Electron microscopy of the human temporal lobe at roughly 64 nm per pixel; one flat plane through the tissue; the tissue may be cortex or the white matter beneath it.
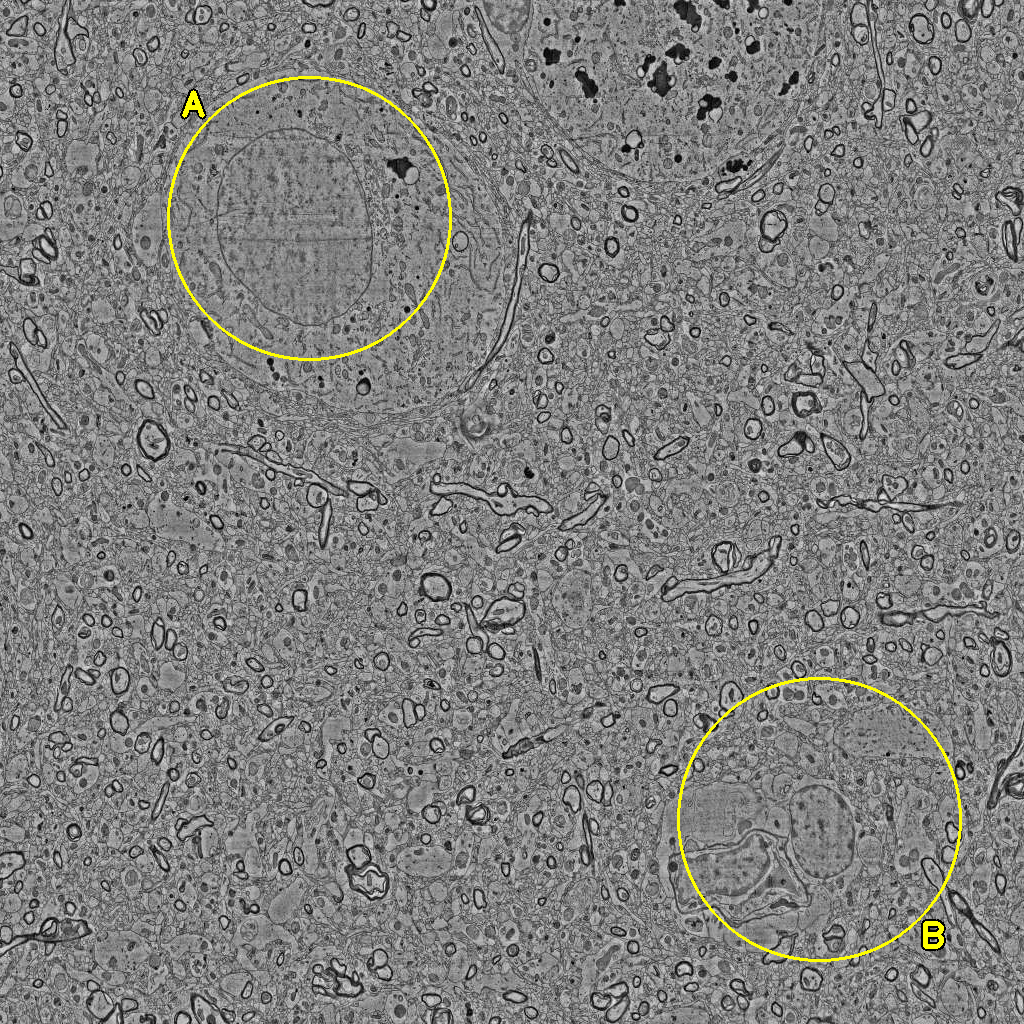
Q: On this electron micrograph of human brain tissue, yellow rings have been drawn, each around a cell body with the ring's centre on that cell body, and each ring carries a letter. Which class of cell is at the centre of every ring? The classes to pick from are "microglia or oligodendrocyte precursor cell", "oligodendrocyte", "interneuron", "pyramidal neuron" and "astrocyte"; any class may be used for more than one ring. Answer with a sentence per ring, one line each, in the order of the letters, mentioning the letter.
The centre of ring A is occupied by a pyramidal neuron.
The centre of ring B is occupied by a microglial cell or oligodendrocyte precursor cell.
